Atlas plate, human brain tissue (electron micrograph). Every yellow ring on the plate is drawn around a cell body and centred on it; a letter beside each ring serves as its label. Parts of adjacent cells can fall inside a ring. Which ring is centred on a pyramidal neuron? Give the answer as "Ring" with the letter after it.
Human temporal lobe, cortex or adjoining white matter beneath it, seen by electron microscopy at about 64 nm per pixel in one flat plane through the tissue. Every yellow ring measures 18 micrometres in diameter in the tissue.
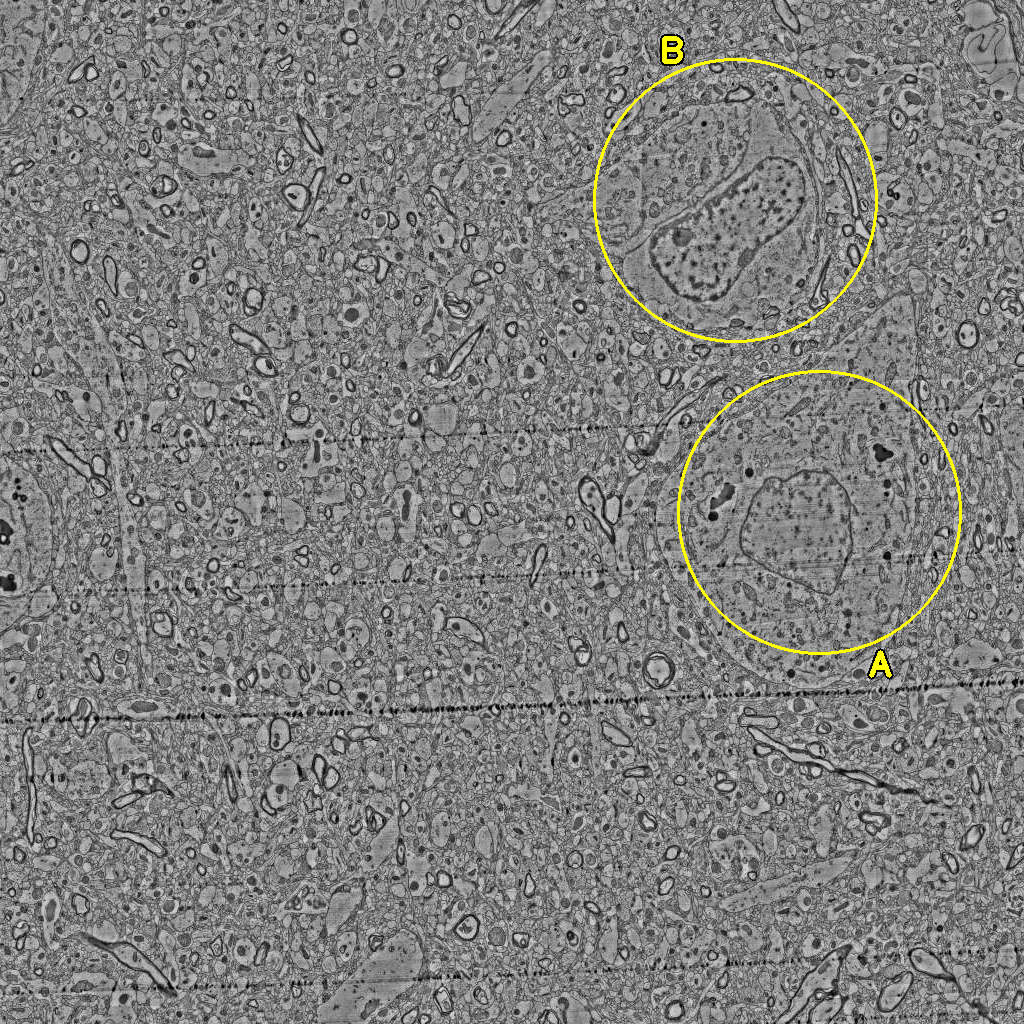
Ring A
